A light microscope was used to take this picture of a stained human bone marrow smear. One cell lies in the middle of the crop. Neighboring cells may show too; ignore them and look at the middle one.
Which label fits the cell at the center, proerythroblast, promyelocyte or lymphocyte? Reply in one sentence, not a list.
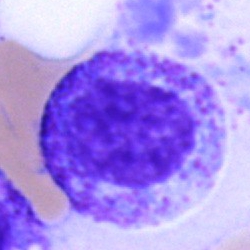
The cell in the exact centre of the crop is a promyelocyte.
